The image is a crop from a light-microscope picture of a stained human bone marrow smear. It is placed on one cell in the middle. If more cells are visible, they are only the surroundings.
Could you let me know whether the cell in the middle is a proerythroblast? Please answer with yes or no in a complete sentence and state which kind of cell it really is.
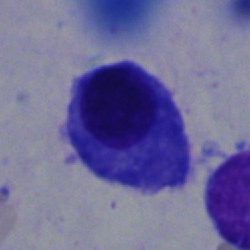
No, the cell at the centre of the crop corresponds to a plasma cell, not a proerythroblast.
